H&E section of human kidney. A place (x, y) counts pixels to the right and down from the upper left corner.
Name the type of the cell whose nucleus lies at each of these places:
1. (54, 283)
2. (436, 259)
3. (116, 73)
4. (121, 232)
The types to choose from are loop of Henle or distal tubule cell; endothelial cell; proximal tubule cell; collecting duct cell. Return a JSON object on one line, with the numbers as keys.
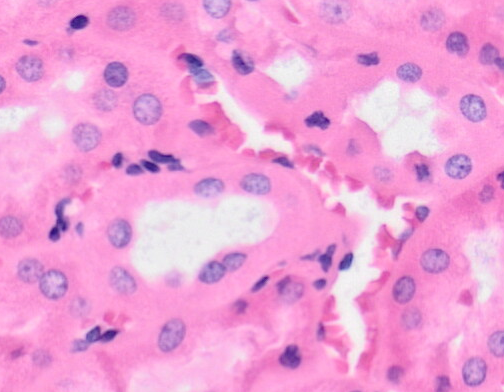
{"1": "proximal tubule cell", "2": "proximal tubule cell", "3": "proximal tubule cell", "4": "loop of Henle or distal tubule cell"}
